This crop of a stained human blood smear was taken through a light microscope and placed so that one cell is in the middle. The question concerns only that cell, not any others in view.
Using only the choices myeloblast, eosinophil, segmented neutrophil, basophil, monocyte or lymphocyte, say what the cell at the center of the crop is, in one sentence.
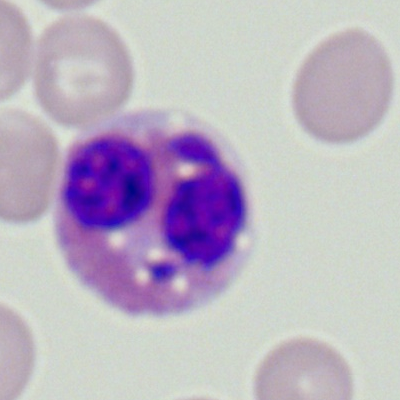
The crop centres on a single cell, and that cell is an eosinophil.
